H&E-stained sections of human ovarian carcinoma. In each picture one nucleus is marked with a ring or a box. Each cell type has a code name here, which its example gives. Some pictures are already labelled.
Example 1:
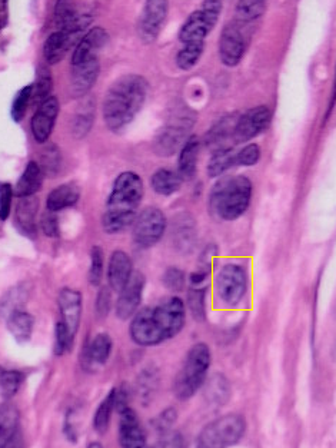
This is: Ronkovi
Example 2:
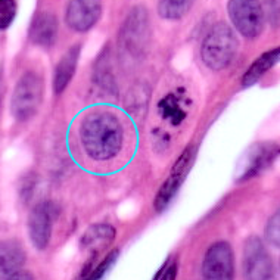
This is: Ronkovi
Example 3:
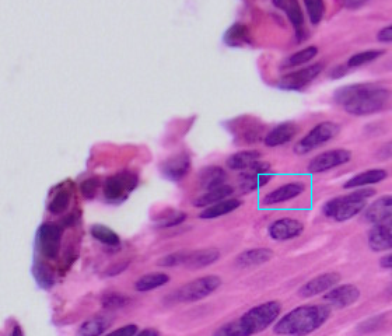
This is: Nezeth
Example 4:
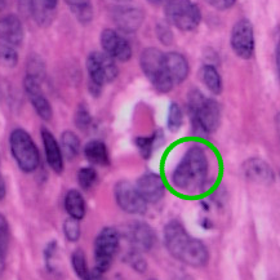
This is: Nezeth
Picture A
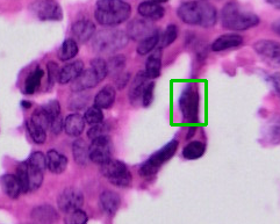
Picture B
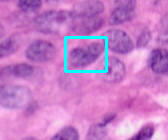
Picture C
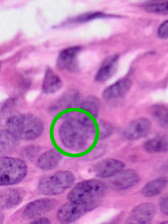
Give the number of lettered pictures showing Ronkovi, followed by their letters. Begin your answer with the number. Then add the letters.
1: B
